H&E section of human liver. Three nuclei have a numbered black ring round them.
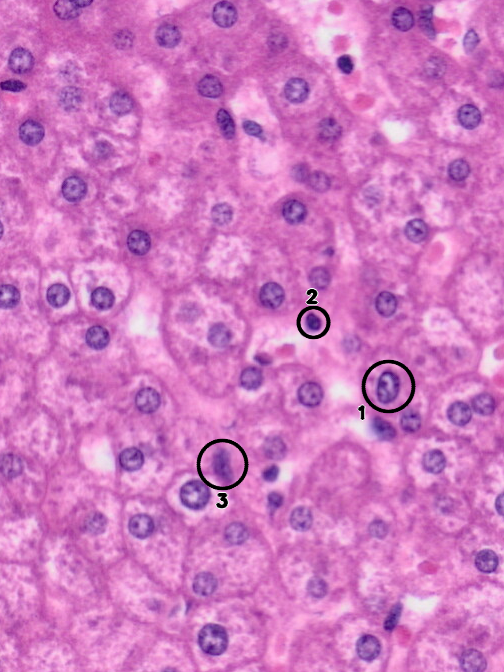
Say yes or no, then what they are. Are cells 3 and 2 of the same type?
No, the correct reading has cell 3 as a fibroblast or stellate cell and cell 2 as a lymphocyte.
